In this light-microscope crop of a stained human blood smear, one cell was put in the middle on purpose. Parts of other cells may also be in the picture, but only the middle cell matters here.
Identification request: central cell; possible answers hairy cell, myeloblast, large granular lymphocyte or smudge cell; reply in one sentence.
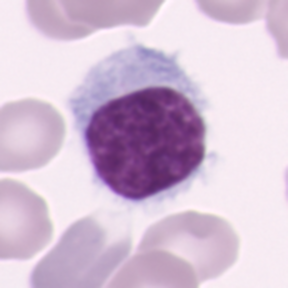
Centrally within this crop lies a hairy cell.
